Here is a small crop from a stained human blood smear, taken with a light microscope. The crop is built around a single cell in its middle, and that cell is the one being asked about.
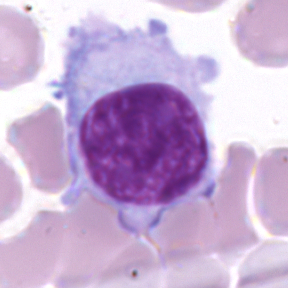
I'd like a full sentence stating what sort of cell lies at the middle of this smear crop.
The cell at the centre of the field is a plasma cell.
